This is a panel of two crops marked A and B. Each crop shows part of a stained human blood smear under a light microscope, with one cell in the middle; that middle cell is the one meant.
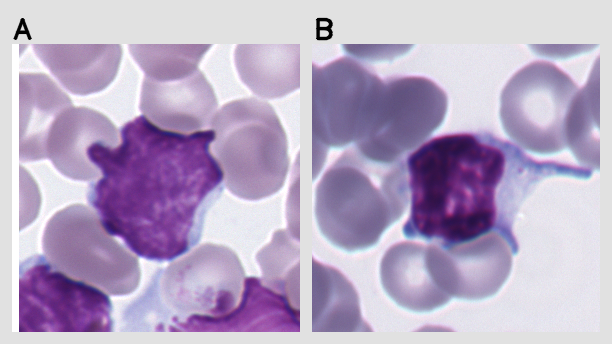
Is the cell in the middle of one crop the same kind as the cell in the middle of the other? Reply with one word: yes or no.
yes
